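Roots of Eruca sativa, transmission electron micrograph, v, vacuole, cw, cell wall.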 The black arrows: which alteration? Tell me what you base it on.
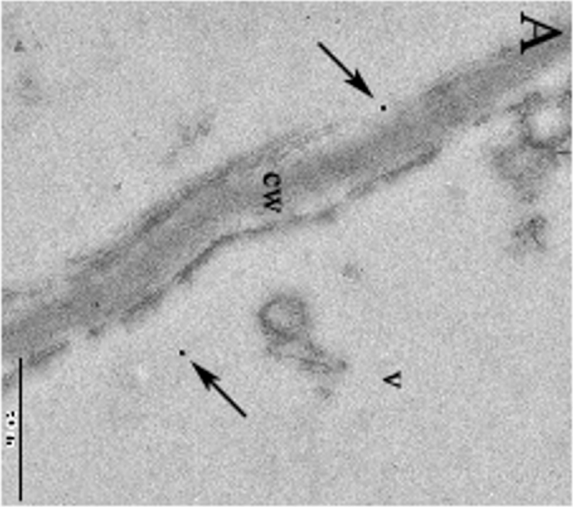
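Small dark deposits. The dots lie in the pale areas on either side of the grey band that runs diagonally across the panel.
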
